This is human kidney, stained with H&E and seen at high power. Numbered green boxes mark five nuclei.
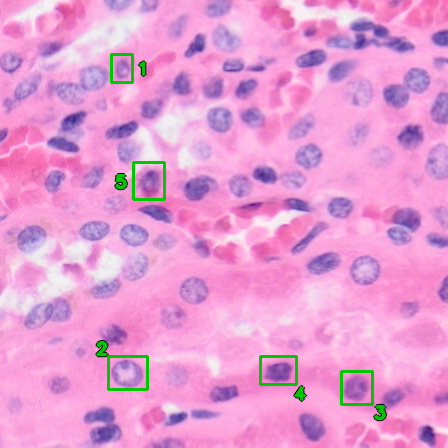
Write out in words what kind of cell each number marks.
Cell 1 is a collecting duct cell, cell 2 is a proximal tubule cell, cell 3 is a proximal tubule cell, cell 4 is a proximal tubule cell and cell 5 is a loop of Henle or distal tubule cell.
